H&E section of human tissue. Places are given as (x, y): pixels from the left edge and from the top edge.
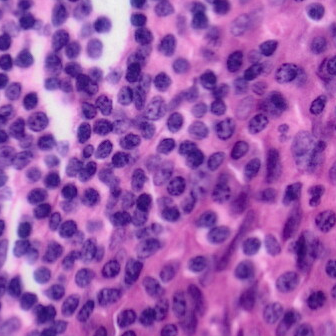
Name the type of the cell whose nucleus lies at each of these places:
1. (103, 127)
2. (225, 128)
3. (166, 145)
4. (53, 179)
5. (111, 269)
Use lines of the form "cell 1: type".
cell 1: small lymphocyte
cell 2: plasma cell
cell 3: small lymphocyte
cell 4: small lymphocyte
cell 5: plasma cell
